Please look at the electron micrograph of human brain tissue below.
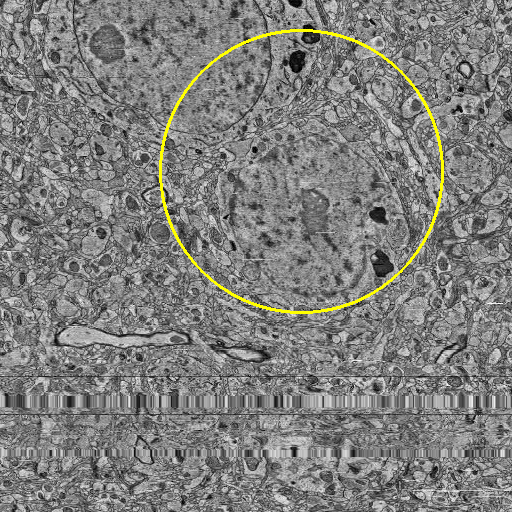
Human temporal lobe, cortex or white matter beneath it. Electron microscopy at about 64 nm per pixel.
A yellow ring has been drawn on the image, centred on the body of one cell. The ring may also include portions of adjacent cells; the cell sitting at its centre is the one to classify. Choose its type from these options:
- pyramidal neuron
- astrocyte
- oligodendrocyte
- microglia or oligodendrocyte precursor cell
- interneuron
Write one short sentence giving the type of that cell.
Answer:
The cell in the middle of the ring is an interneuron.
